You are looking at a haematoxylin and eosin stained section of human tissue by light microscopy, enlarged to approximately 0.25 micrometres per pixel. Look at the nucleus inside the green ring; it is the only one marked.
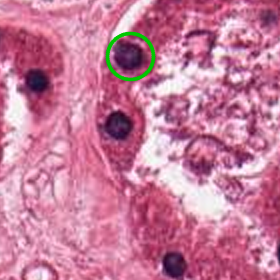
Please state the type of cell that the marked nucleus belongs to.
proximal tubule cell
